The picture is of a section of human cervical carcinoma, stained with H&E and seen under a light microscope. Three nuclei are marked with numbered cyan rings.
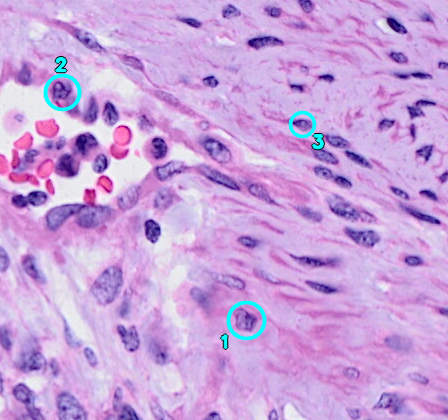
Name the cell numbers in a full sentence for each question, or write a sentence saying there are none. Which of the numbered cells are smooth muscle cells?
The numbers 1 and 3 mark cells that are smooth muscle cells.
